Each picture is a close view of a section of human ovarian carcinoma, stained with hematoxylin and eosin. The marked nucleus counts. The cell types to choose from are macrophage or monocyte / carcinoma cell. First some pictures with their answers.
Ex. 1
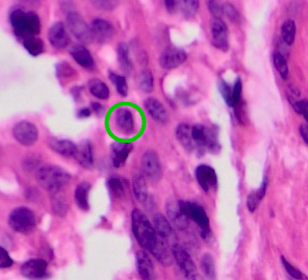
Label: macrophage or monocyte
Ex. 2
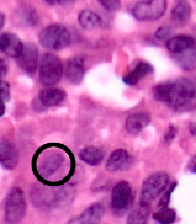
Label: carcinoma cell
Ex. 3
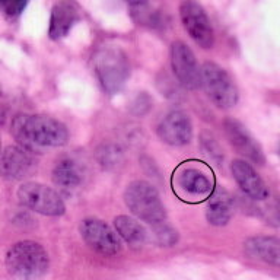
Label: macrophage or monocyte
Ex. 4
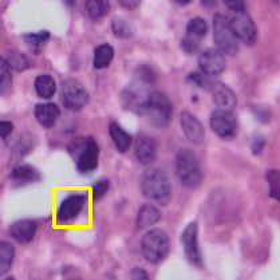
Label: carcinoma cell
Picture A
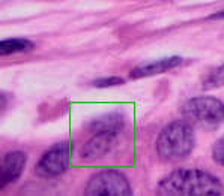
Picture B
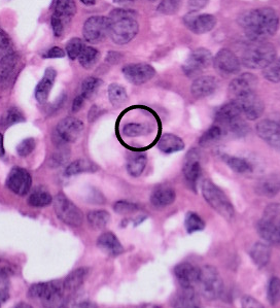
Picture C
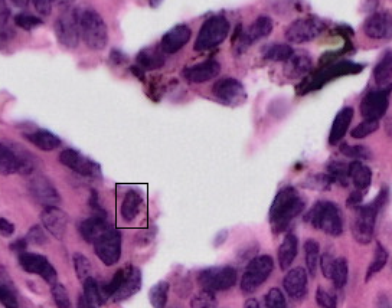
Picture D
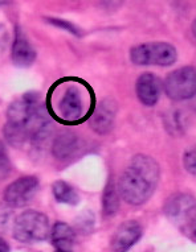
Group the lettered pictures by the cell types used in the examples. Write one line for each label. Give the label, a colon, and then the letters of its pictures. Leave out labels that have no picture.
macrophage or monocyte: B, C, D
carcinoma cell: A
